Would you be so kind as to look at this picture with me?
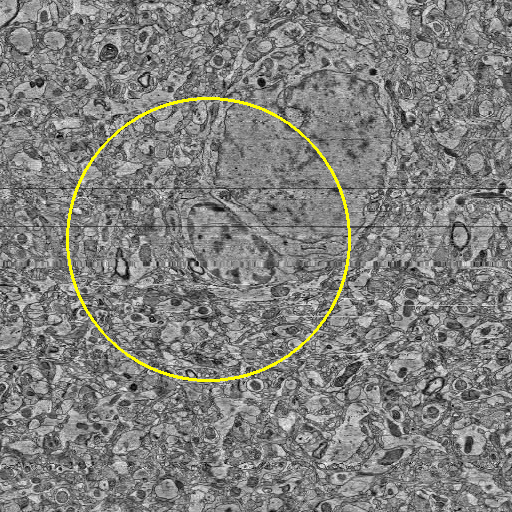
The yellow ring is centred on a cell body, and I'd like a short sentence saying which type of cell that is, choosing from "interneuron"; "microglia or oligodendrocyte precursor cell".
The cell body in the ring belongs to a microglial cell or oligodendrocyte precursor cell.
